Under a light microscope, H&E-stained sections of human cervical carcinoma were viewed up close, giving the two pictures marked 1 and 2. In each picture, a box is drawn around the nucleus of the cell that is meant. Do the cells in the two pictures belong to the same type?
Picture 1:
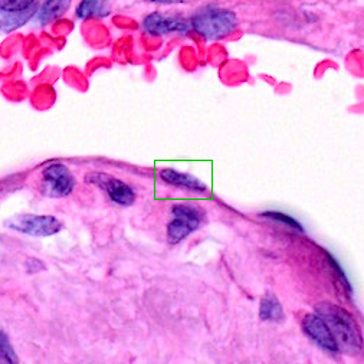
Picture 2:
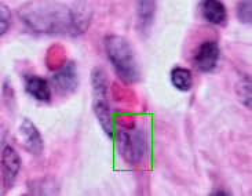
yes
